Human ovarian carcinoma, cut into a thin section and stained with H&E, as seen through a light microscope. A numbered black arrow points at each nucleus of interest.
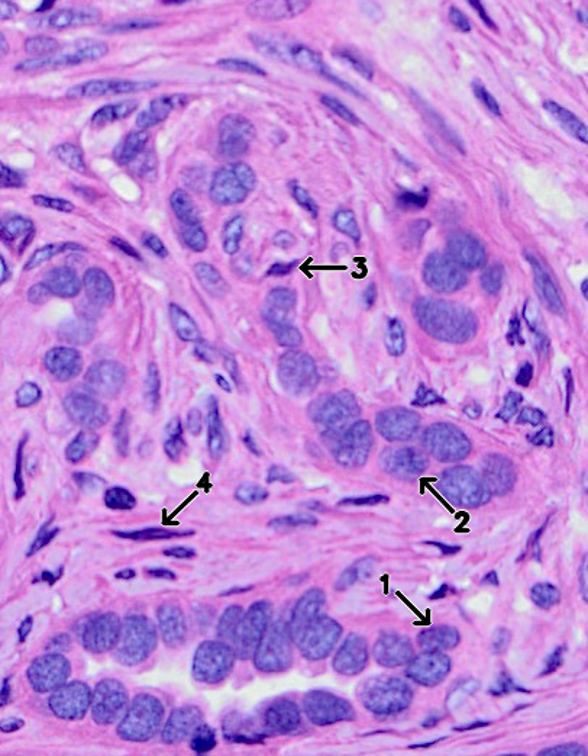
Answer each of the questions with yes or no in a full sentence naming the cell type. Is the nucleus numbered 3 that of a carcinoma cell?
No, cell 3 is identified not as a carcinoma cell but as a fibroblast.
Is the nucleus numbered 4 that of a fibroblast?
Yes, that is right: the cell labelled 4 is a fibroblast.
